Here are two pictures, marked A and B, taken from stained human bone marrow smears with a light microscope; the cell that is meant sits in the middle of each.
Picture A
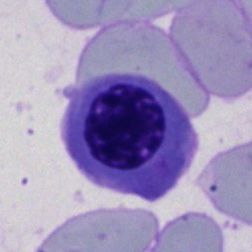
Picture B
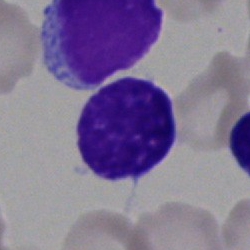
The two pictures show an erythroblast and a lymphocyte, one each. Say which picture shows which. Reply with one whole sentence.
In picture A the cell is an erythroblast; in picture B, a lymphocyte.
